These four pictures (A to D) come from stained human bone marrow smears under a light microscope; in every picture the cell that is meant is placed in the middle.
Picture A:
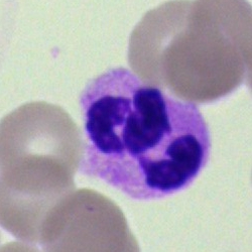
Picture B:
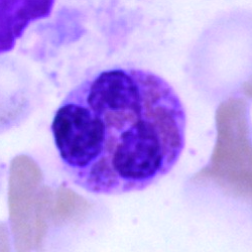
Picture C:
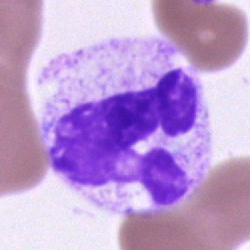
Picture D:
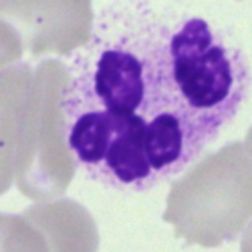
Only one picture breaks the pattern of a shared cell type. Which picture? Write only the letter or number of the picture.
B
